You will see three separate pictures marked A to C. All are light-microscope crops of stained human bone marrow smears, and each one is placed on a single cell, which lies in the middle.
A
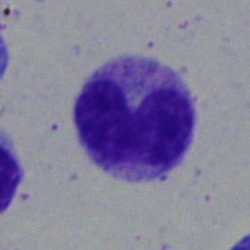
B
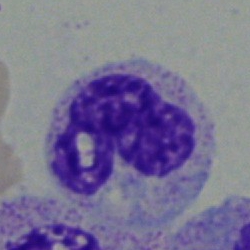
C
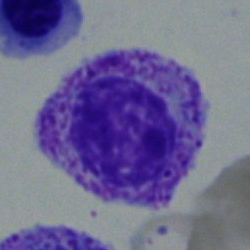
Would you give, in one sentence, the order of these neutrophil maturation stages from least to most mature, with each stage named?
The maturation order of the crops, earliest to latest, is crop C (a myelocyte), crop A (a band neutrophil) and crop B (a segmented neutrophil).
